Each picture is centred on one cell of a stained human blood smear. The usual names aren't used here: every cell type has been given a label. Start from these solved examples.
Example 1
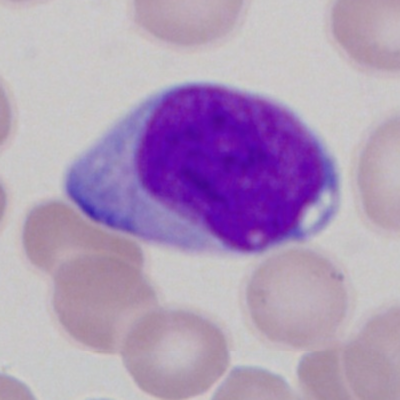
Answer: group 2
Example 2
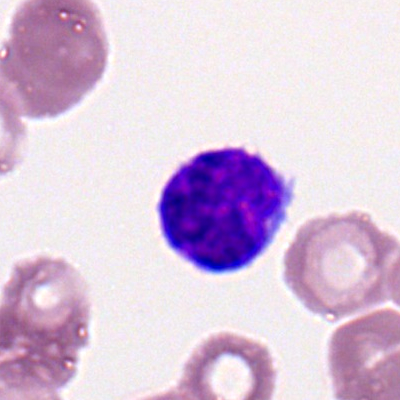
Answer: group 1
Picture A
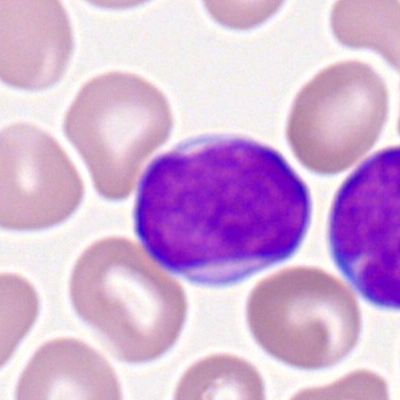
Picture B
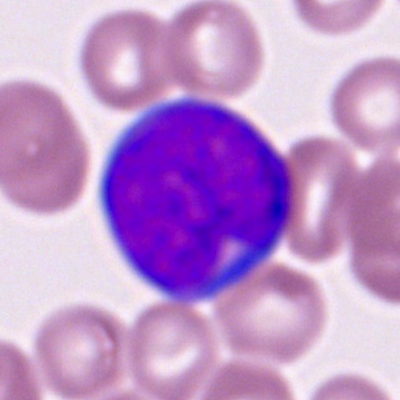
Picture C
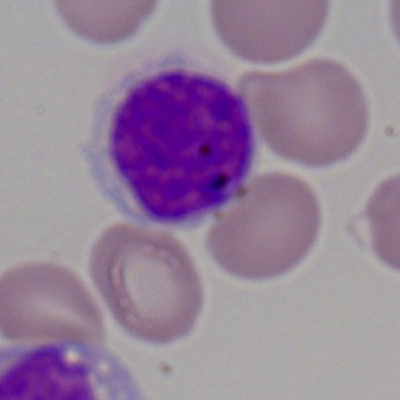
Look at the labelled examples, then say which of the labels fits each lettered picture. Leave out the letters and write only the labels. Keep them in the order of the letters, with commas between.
group 2, group 2, group 1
